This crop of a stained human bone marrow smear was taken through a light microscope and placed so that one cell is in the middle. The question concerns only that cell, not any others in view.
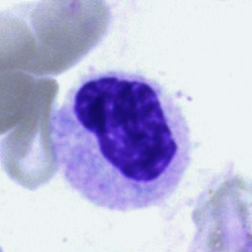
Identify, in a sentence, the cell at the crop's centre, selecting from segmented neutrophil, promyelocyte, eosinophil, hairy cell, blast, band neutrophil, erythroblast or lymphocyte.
This particular crop is centered on a band neutrophil.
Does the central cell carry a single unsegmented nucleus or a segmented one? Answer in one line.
Worth pointing out that its nucleus is one compact mass, round, oval or reniform.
